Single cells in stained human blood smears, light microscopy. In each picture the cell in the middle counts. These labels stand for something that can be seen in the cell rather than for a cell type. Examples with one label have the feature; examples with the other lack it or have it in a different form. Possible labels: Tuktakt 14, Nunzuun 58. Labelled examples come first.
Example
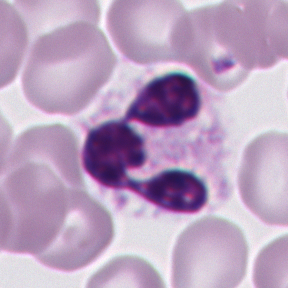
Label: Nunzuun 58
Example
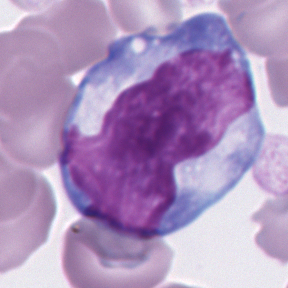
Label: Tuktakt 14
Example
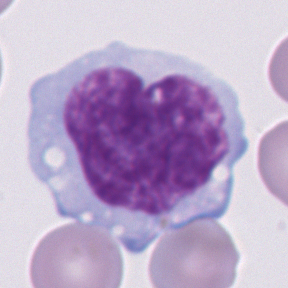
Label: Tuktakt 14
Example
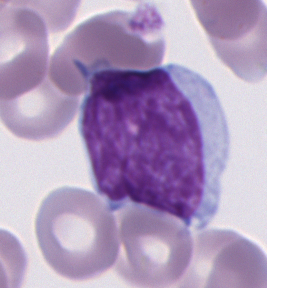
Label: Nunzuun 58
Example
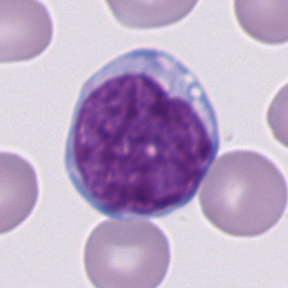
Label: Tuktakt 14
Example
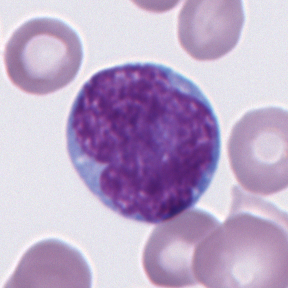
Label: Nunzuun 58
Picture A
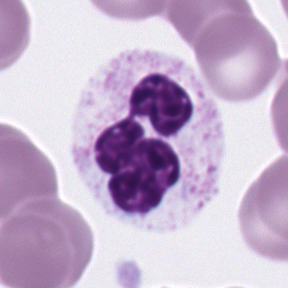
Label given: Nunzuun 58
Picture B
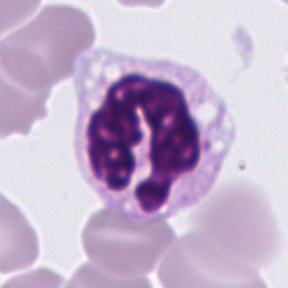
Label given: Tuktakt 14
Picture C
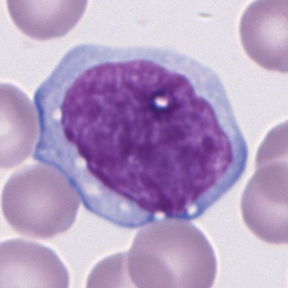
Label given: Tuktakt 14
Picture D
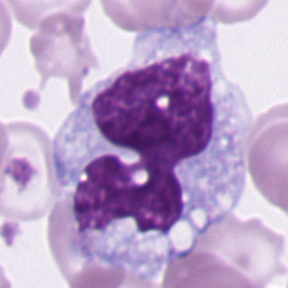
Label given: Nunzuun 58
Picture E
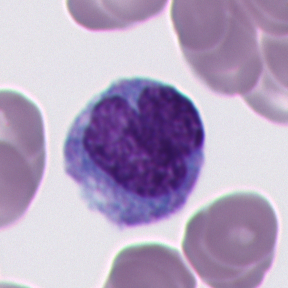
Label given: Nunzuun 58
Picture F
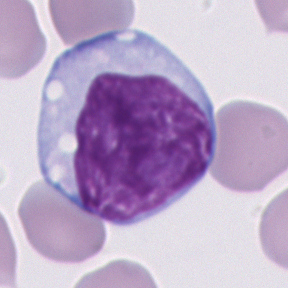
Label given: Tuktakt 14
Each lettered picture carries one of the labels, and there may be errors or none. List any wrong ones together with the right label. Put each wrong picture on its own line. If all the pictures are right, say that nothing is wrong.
Wrong: D (Nunzuun 58); correct: Tuktakt 14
